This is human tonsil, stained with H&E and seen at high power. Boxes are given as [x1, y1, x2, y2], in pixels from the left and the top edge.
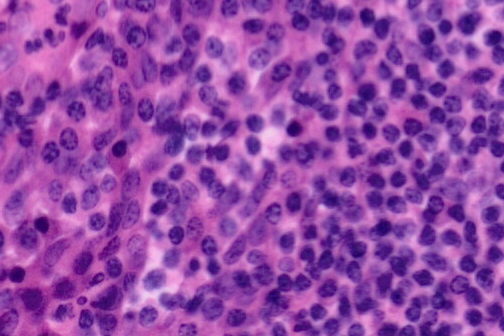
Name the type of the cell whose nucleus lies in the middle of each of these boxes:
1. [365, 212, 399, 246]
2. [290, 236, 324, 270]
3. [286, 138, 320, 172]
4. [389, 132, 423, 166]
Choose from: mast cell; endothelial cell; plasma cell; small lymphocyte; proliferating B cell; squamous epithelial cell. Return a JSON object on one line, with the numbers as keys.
{"1": "small lymphocyte", "2": "small lymphocyte", "3": "plasma cell", "4": "small lymphocyte"}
